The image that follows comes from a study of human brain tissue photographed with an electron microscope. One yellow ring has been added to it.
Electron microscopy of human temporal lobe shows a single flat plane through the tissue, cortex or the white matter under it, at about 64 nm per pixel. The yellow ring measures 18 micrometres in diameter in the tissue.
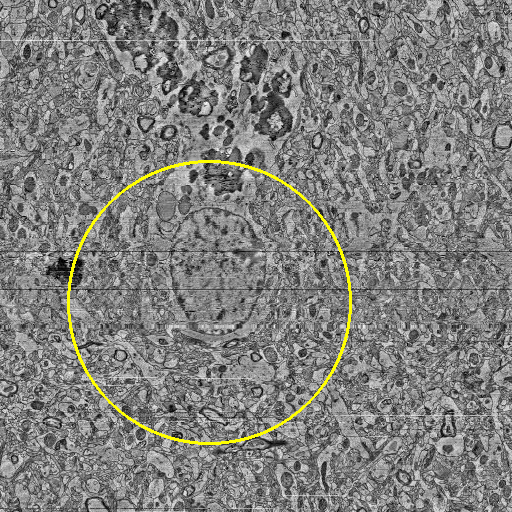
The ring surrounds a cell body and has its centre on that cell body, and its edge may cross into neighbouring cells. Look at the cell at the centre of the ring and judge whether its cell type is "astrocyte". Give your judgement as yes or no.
yes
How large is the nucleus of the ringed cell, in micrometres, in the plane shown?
Roughly 9 by 6 micrometres is the size of the nucleus in this plane.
